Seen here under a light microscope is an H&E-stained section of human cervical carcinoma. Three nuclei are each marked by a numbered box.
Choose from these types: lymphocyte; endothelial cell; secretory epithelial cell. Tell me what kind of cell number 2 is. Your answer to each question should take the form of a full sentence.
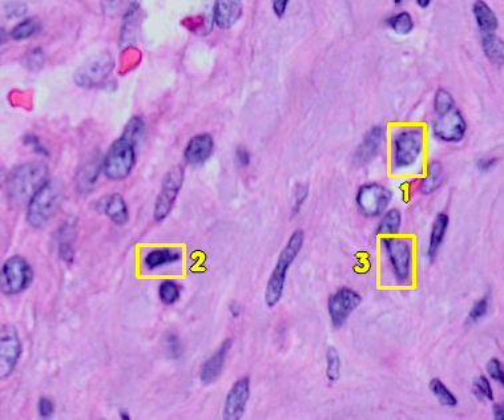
The cell tagged with 2 in this tissue section is a lymphocyte.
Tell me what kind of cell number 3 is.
The cell indicated with the number 3 is classed as an endothelial cell.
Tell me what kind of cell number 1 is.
The numeral 1 marks an endothelial cell in this section.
